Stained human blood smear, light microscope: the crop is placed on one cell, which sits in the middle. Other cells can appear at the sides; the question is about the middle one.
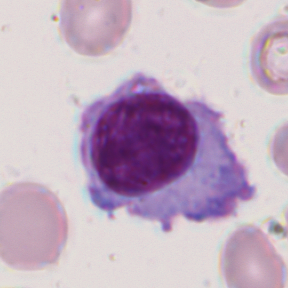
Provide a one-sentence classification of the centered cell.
In the centre of this crop there is a plasma cell.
